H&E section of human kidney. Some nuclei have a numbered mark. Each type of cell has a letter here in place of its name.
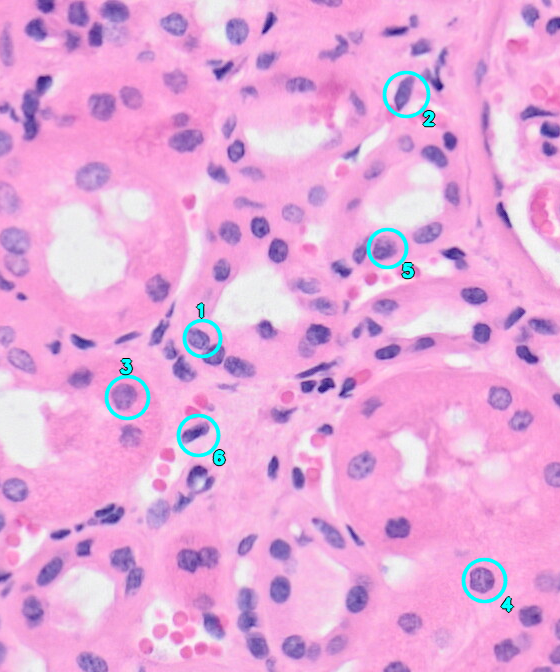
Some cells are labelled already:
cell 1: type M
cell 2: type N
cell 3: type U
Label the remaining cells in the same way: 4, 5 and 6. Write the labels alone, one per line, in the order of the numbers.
type U
type M
type N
